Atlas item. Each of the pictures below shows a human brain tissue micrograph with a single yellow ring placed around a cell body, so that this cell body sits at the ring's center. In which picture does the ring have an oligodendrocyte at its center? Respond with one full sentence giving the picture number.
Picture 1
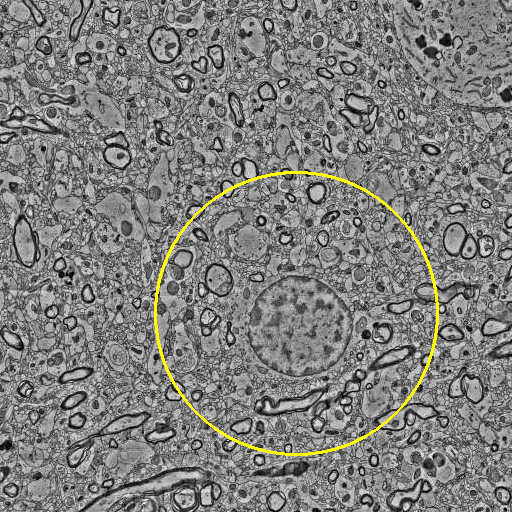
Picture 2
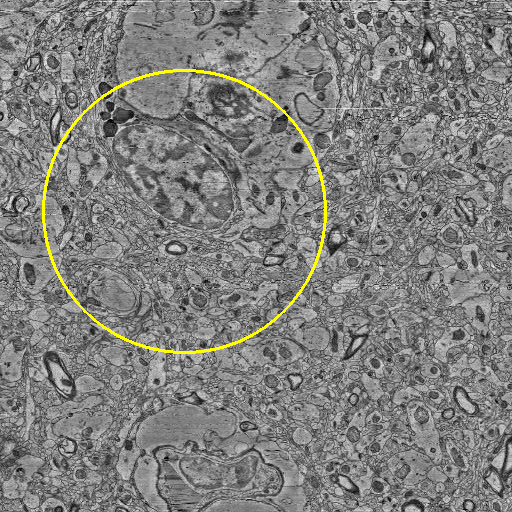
The cell at the ring's center that fits lies in picture 1.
